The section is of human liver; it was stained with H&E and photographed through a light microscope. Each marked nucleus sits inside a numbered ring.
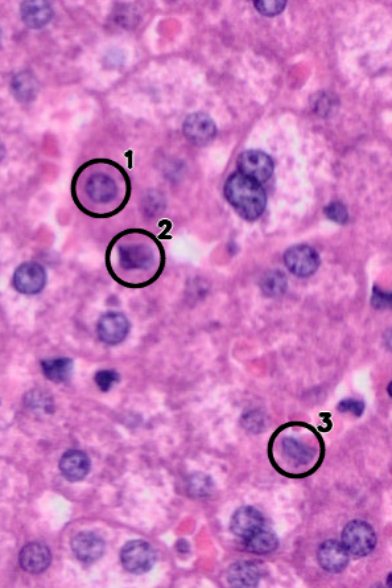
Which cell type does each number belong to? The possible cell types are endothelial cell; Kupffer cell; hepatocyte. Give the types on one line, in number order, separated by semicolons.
hepatocyte; endothelial cell; endothelial cell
